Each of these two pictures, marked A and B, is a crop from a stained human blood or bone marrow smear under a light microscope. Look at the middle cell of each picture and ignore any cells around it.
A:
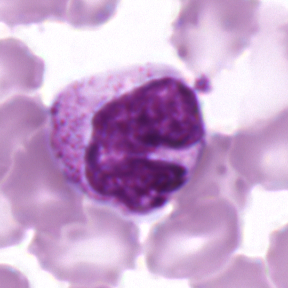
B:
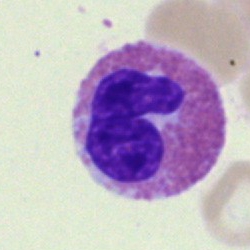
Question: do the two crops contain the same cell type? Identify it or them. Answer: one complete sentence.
No, a band neutrophil lies at the centre of crop A, and an eosinophil lies at the centre of crop B.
